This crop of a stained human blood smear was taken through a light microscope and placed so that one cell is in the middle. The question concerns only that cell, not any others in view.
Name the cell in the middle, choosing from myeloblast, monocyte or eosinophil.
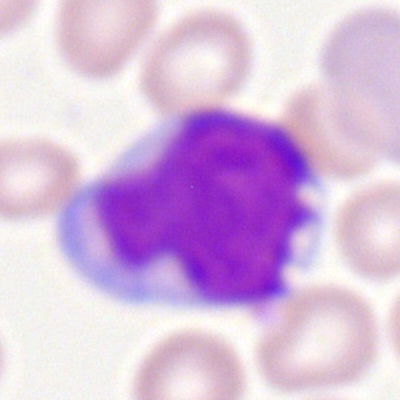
myeloblast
